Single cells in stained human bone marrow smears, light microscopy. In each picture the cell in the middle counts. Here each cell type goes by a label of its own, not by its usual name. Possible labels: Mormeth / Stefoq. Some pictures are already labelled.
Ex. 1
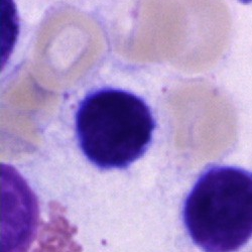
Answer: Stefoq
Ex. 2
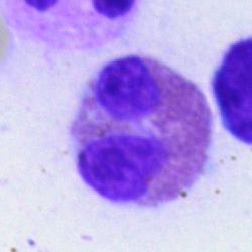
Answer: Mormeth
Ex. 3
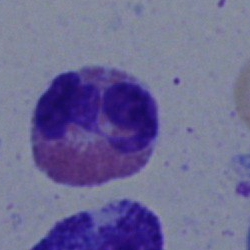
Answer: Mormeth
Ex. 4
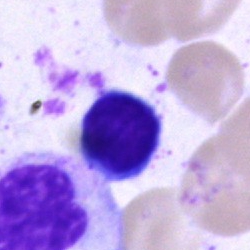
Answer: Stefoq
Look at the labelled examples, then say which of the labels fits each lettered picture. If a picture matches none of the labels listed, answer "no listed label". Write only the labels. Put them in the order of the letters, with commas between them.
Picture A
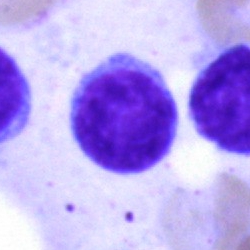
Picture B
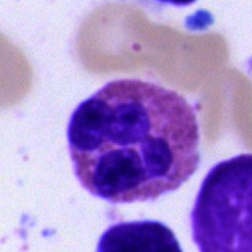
Stefoq, Mormeth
